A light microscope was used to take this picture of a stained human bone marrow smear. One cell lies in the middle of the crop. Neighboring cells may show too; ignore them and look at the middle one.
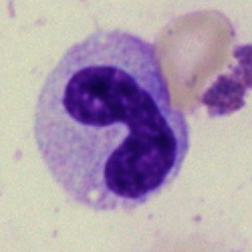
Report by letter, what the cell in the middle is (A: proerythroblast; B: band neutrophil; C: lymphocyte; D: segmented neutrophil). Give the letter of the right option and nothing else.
B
